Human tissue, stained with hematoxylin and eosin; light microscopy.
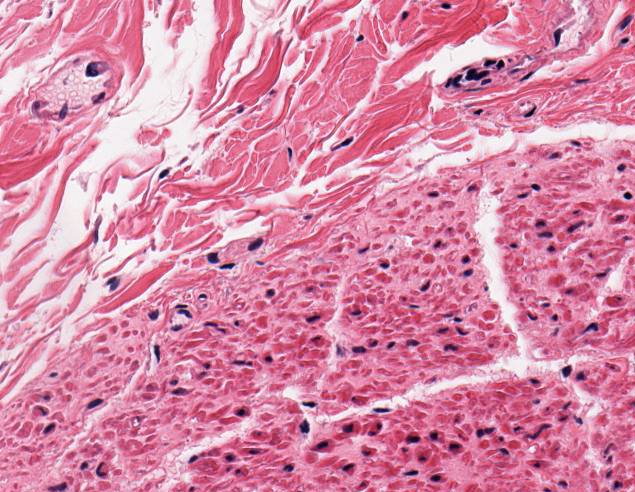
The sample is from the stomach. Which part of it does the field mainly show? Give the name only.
smooth muscle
